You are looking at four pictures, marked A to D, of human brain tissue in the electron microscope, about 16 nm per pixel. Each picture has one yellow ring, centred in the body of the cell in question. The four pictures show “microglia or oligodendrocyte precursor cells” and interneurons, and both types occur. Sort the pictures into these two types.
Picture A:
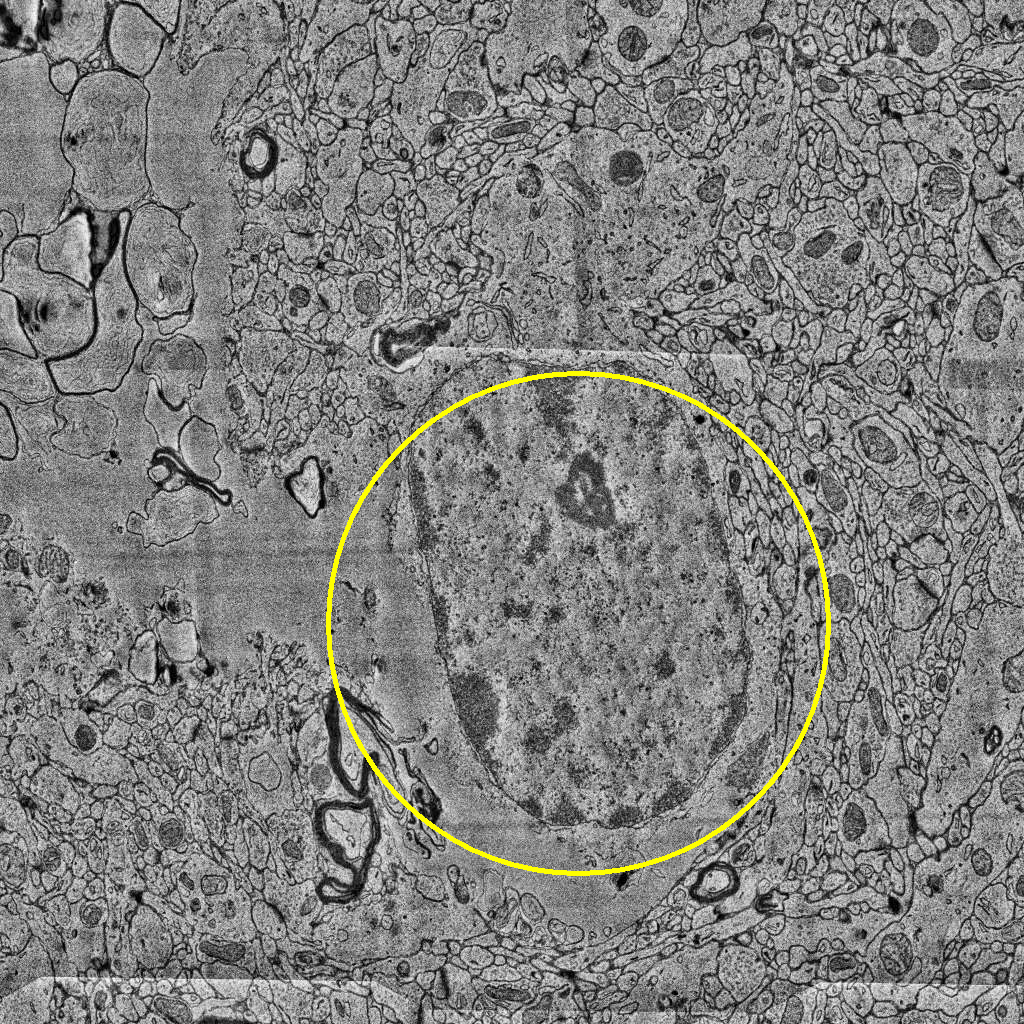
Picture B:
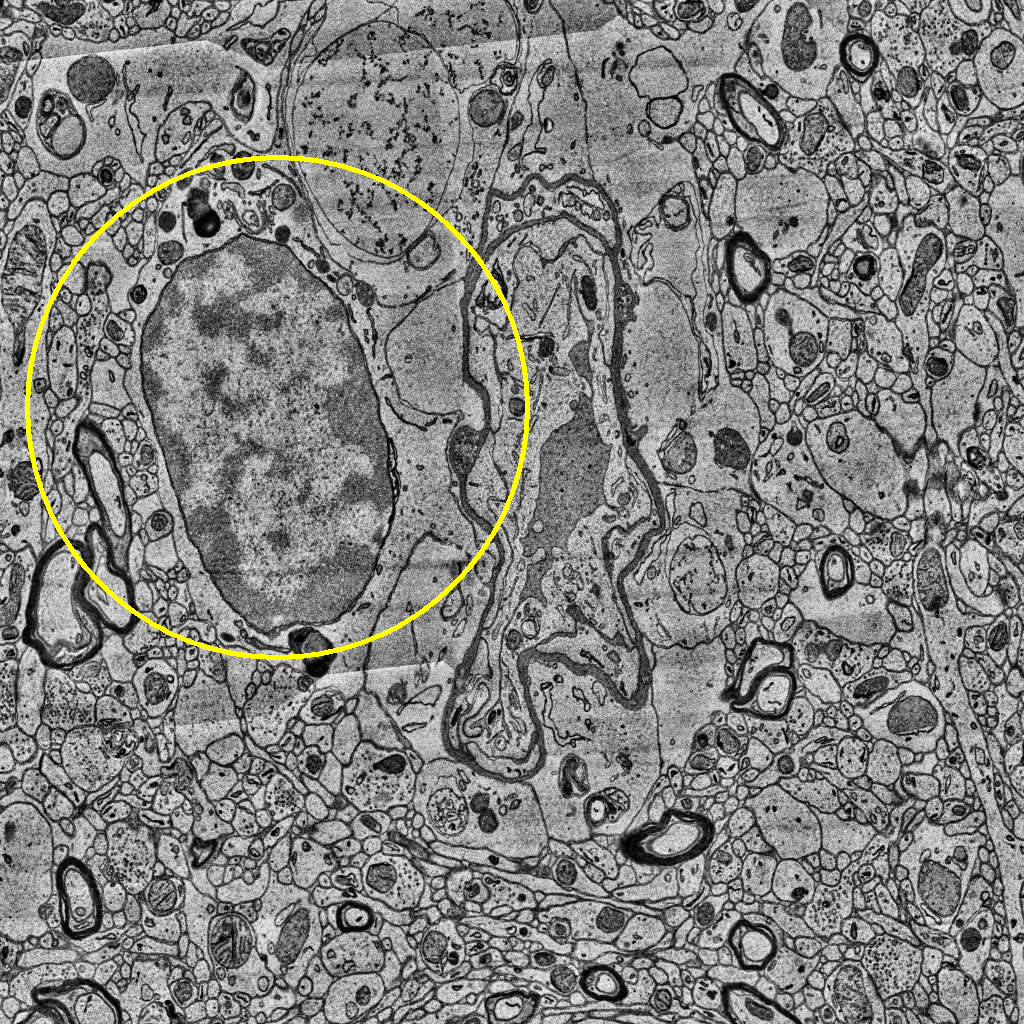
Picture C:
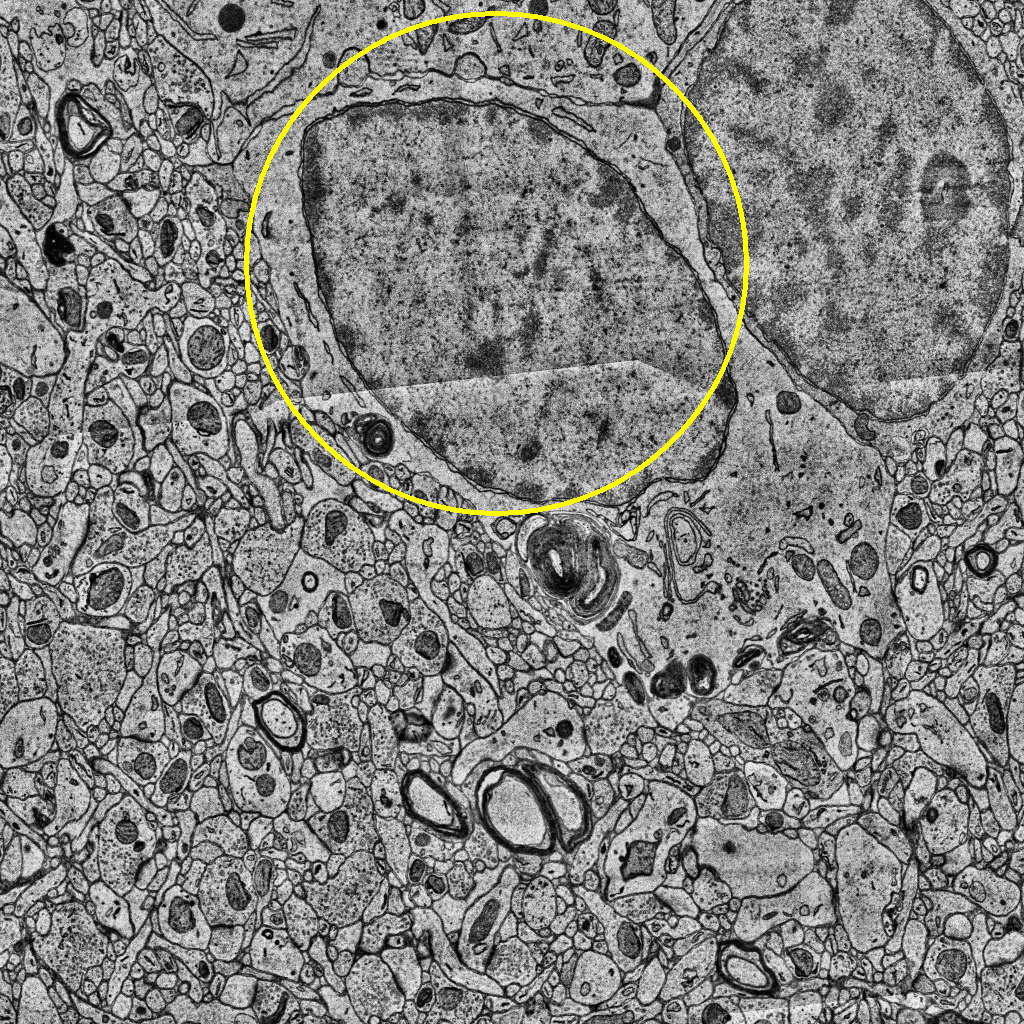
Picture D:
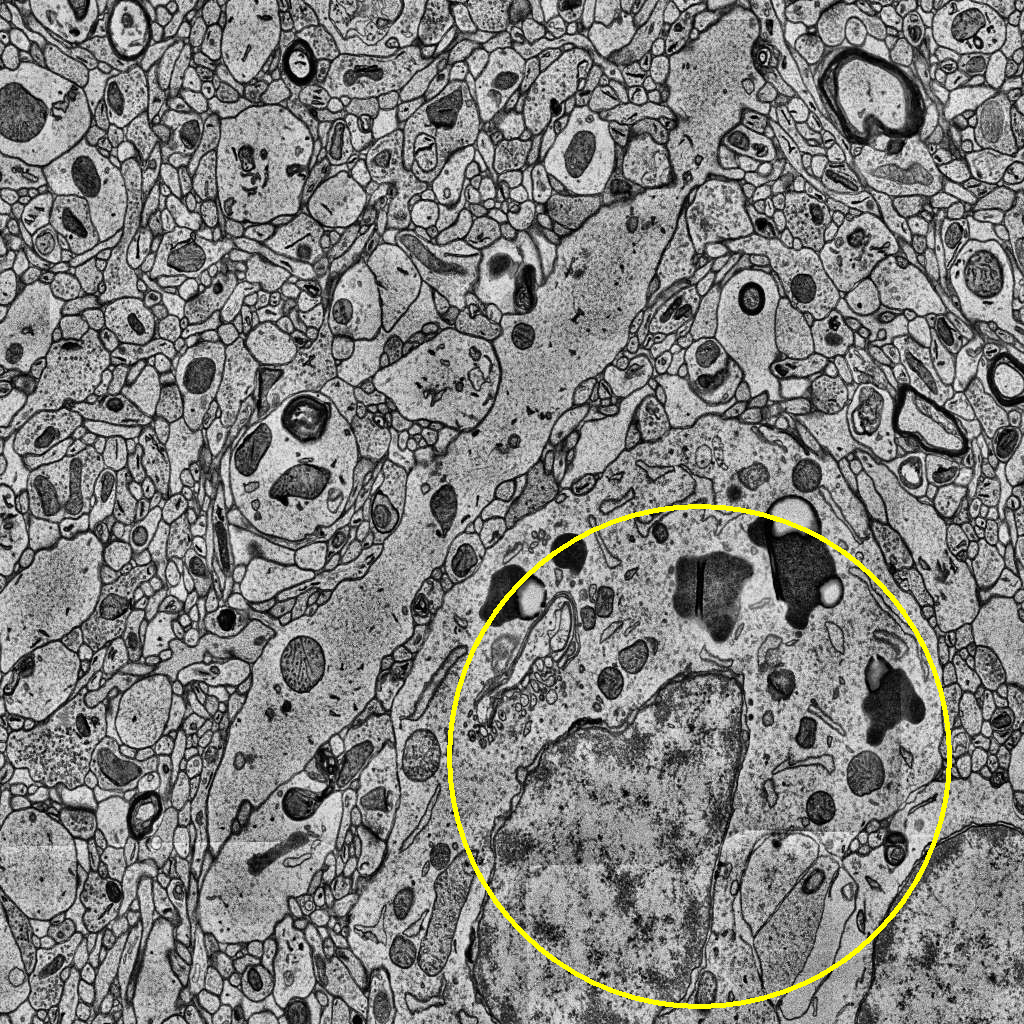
Pictures A, B and C show “microglia or oligodendrocyte precursor cells”, and picture D shows an interneuron.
